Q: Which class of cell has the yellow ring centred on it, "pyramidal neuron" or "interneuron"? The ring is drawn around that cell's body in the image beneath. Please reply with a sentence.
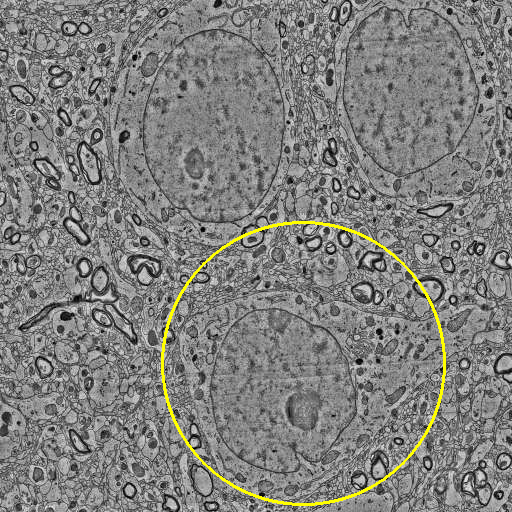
It is centred on a pyramidal neuron.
